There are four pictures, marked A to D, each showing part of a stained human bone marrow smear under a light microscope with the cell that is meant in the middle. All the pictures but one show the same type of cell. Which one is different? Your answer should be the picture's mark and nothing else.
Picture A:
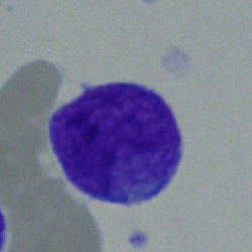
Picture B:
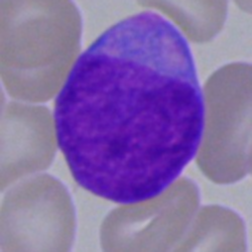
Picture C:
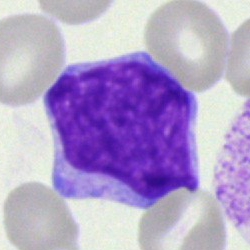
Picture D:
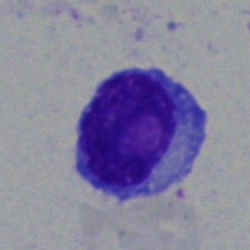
D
